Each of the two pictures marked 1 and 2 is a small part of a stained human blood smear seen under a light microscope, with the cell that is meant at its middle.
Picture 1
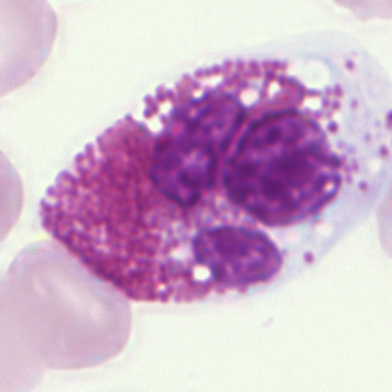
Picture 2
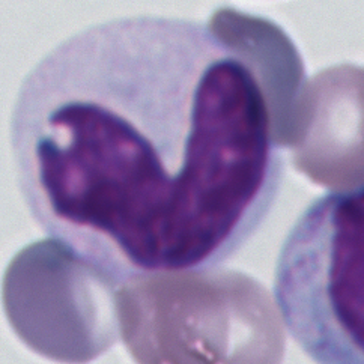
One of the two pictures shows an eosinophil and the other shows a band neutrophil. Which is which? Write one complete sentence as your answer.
It is picture 1 that shows an eosinophil, and picture 2 that shows a band neutrophil.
